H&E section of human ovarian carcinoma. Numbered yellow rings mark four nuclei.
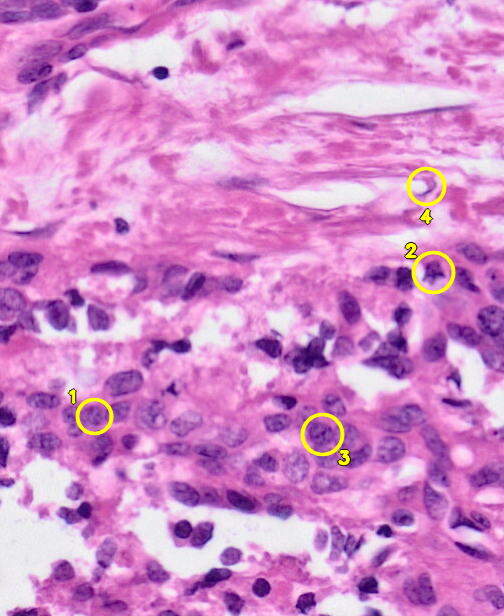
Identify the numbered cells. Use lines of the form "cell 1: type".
cell 1: carcinoma cell
cell 2: carcinoma cell
cell 3: carcinoma cell
cell 4: fibroblast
